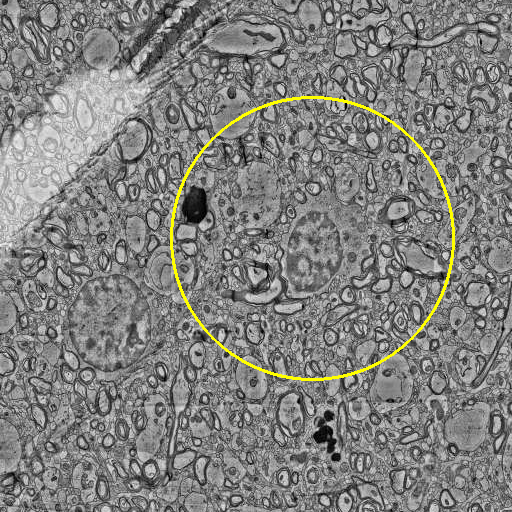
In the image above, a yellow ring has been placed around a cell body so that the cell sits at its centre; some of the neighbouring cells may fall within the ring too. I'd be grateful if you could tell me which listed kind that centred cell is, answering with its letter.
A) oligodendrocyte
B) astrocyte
A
